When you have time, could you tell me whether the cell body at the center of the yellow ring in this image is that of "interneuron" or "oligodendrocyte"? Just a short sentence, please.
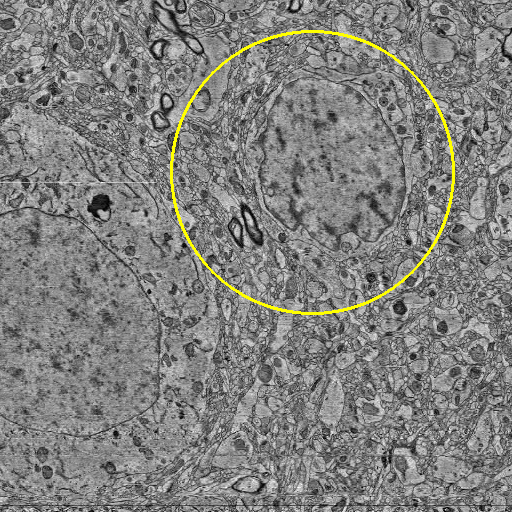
The cell body at the center of the ring is that of an interneuron.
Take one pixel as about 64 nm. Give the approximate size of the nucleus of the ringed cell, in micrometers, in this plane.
In this plane, approximately 12 by 9 micrometers.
